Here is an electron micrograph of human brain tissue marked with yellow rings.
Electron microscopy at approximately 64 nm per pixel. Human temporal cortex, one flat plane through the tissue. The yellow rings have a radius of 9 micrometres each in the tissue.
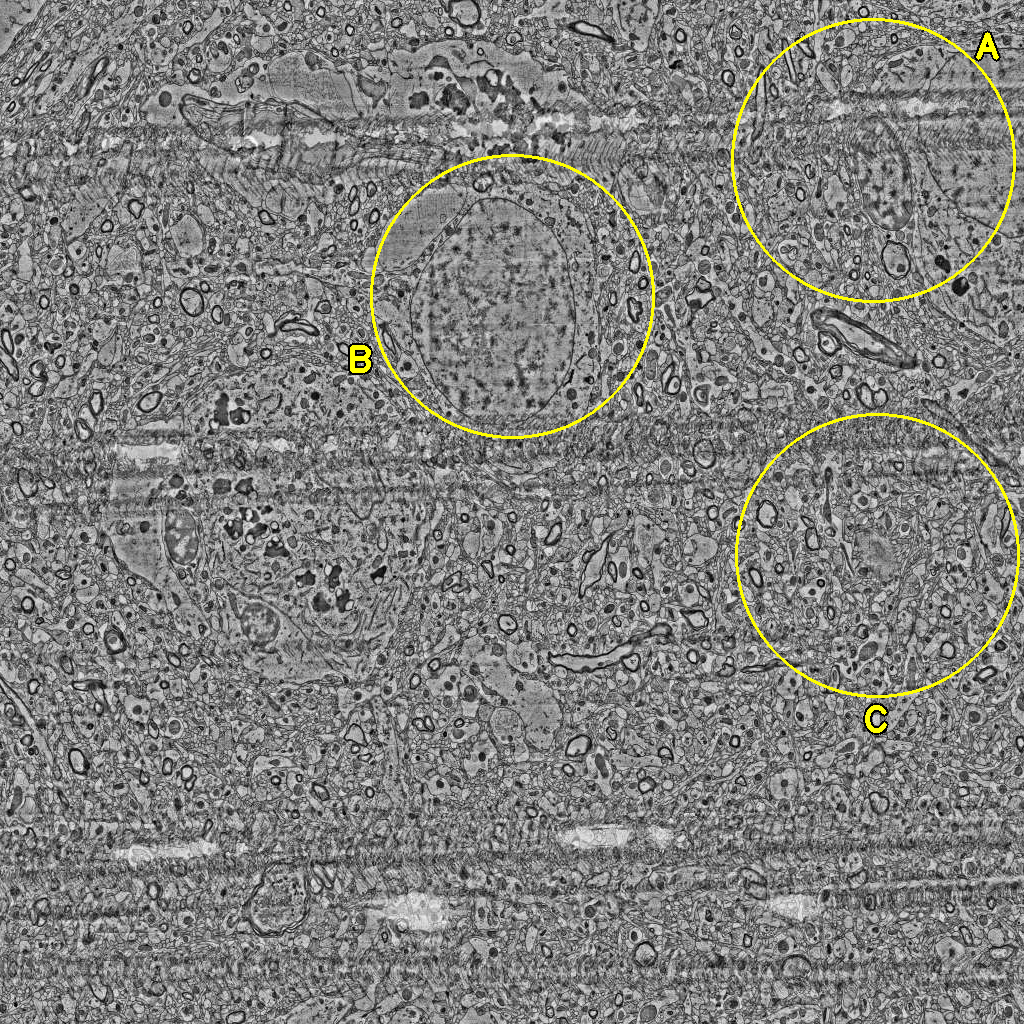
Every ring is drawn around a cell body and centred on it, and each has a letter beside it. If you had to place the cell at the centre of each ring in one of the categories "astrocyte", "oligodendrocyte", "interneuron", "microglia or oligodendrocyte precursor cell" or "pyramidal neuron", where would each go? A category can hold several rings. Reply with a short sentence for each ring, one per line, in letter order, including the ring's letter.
The centre of ring A holds a microglial cell or oligodendrocyte precursor cell.
The centre of ring B holds a pyramidal neuron.
The centre of ring C holds an oligodendrocyte.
